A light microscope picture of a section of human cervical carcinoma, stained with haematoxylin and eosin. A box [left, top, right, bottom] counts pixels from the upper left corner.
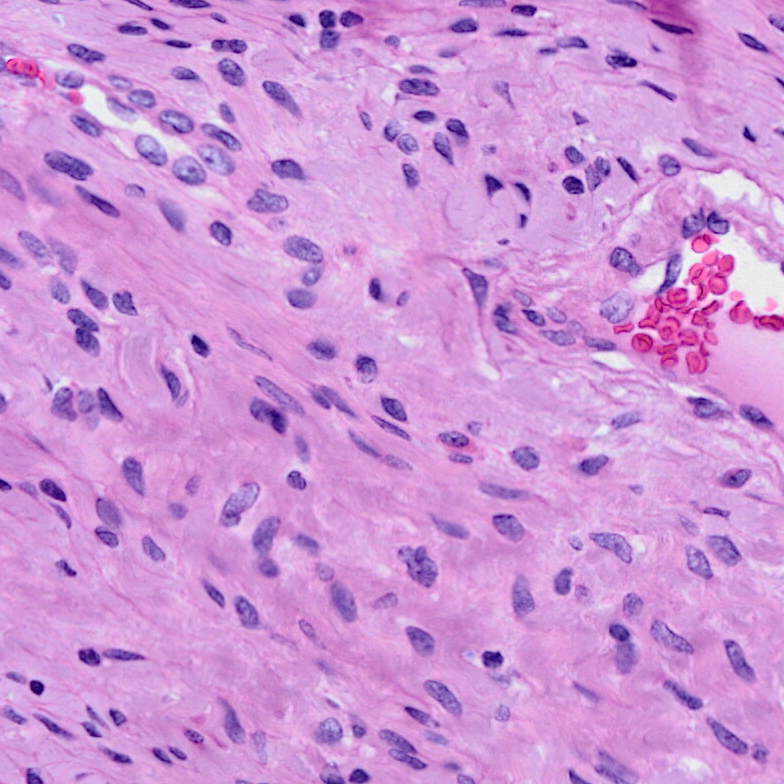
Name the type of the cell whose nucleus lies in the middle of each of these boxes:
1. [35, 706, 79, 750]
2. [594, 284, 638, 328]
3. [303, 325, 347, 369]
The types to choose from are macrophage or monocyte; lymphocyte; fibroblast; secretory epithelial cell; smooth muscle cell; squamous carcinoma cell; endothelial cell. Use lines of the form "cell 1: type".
cell 1: fibroblast
cell 2: endothelial cell
cell 3: fibroblast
